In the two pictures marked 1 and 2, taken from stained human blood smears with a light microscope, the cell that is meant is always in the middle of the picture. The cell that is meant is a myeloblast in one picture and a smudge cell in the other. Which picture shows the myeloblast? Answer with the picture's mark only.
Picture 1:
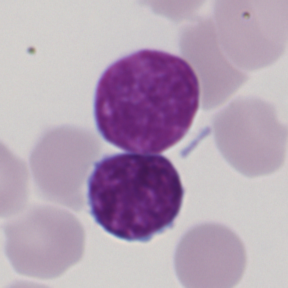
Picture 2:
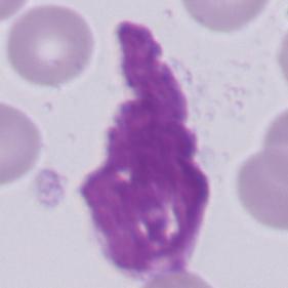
1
